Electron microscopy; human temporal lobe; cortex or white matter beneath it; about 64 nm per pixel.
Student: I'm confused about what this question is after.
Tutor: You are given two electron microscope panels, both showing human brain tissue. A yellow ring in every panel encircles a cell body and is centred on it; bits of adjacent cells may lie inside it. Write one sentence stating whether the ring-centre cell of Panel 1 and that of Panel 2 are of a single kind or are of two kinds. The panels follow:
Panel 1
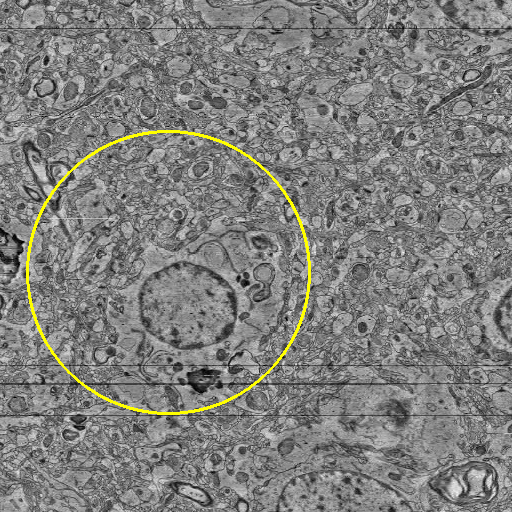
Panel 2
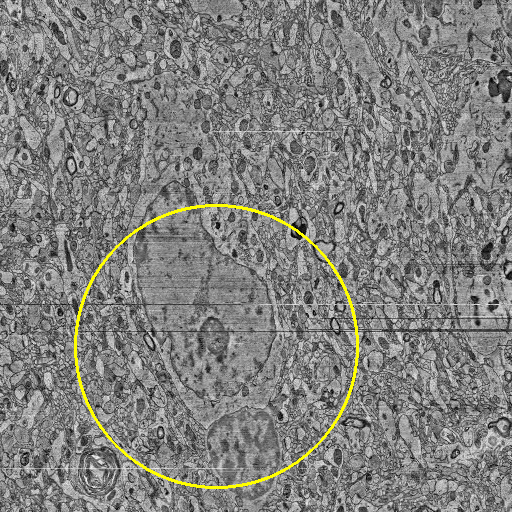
Here, the Panel 1 ring-centre cell and the Panel 2 ring-centre cell are of two kinds.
